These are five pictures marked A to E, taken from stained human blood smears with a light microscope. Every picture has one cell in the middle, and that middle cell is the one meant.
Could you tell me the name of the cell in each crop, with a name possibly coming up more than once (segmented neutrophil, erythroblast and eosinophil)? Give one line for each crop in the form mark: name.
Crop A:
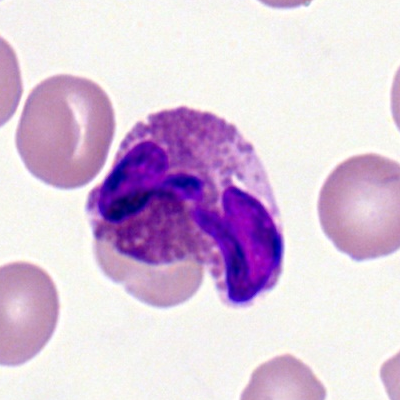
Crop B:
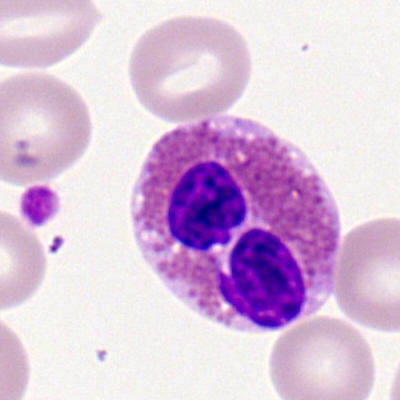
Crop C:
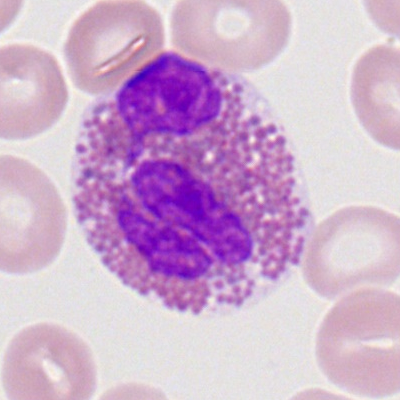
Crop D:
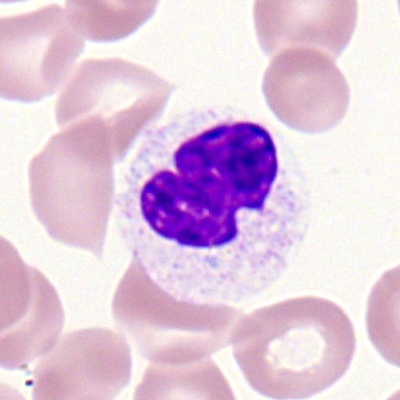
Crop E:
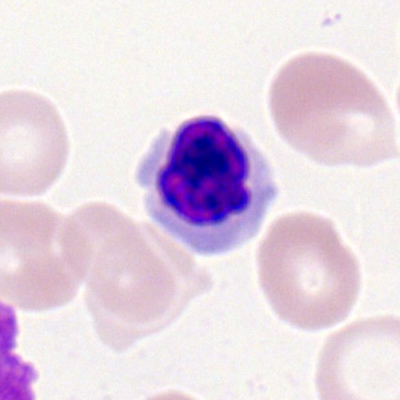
A: eosinophil
B: eosinophil
C: eosinophil
D: segmented neutrophil
E: erythroblast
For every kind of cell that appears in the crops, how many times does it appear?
eosinophil: 3
segmented neutrophil: 1
erythroblast: 1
